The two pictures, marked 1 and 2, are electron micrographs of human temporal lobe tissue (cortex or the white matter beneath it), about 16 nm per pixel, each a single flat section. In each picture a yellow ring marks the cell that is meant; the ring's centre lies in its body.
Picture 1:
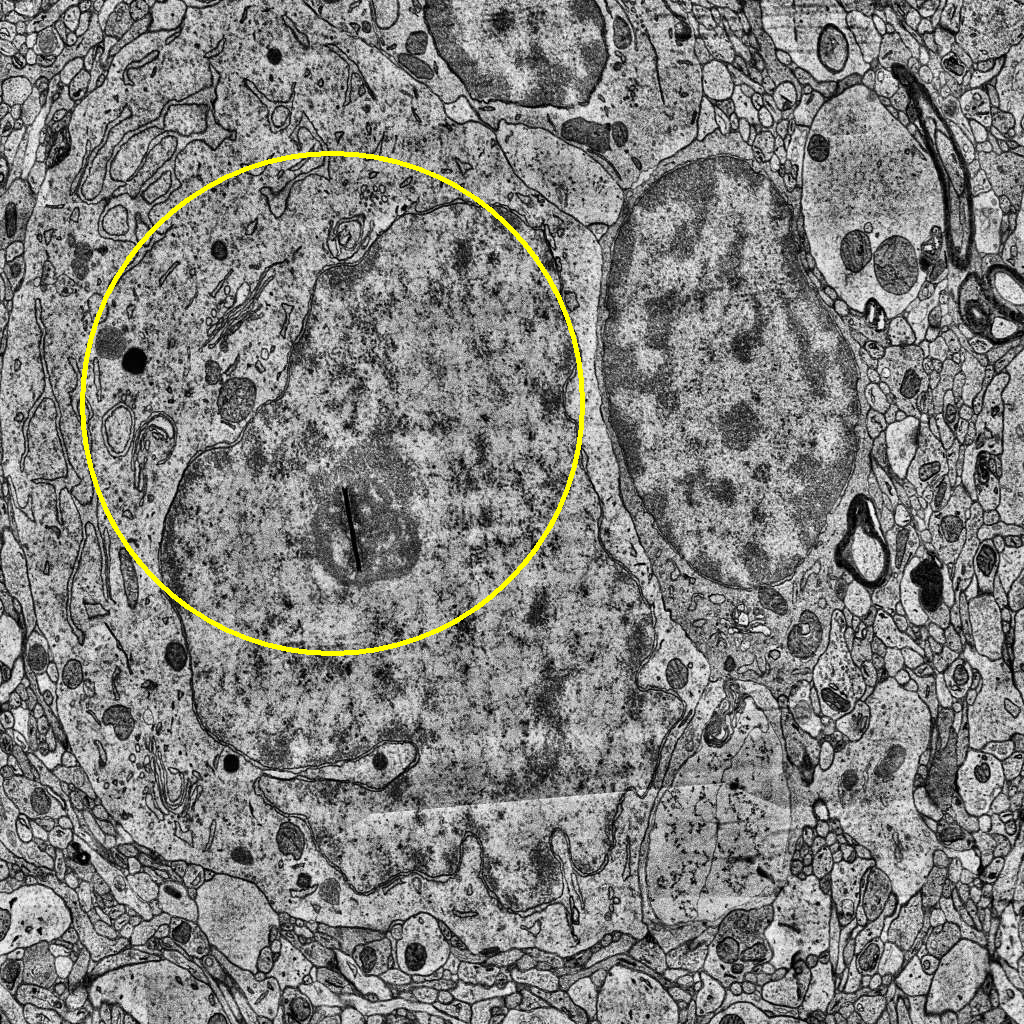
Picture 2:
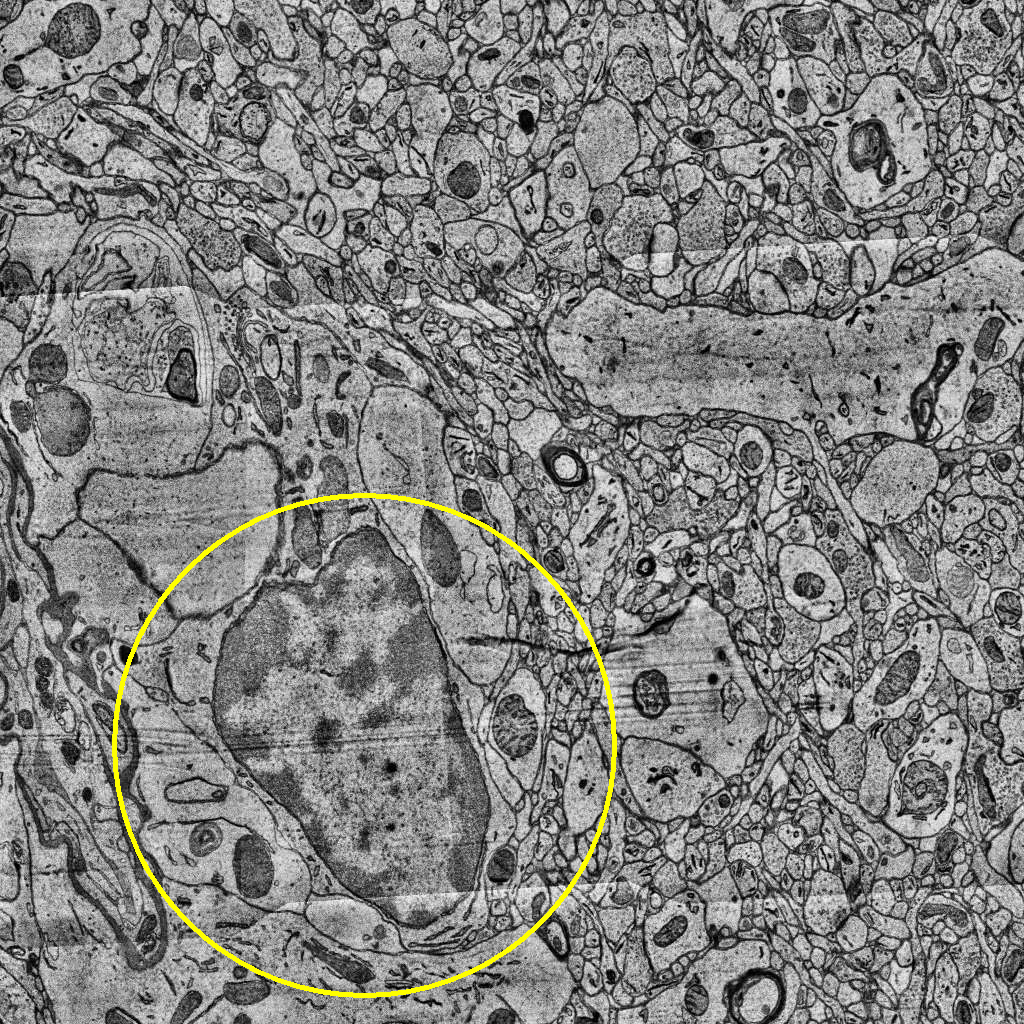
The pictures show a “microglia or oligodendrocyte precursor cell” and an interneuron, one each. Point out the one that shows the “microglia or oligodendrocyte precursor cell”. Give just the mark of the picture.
2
